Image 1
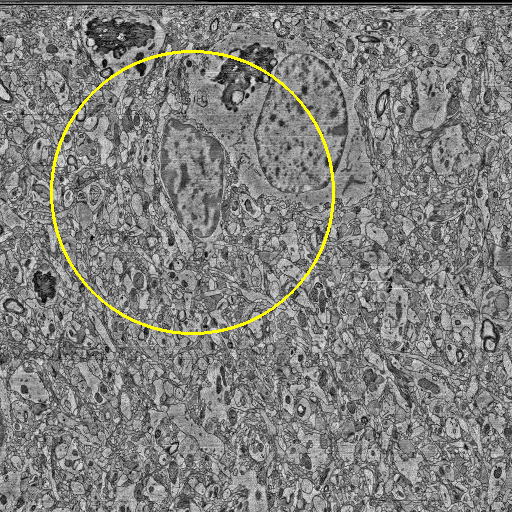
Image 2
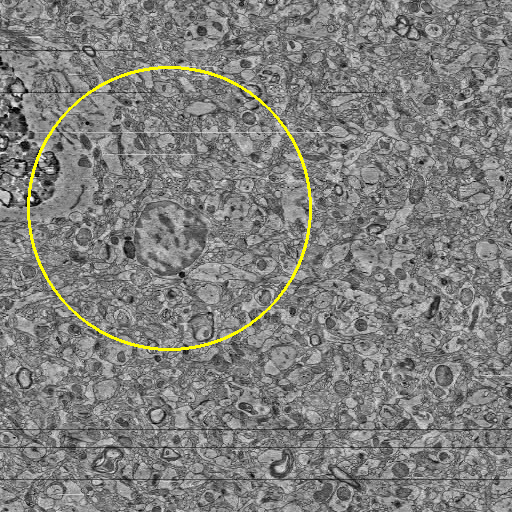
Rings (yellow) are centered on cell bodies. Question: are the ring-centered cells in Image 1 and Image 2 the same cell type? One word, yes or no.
yes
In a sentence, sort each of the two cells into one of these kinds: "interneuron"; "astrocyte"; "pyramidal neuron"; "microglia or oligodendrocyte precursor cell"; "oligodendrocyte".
Each of the two rings surrounds a microglial cell or oligodendrocyte precursor cell.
